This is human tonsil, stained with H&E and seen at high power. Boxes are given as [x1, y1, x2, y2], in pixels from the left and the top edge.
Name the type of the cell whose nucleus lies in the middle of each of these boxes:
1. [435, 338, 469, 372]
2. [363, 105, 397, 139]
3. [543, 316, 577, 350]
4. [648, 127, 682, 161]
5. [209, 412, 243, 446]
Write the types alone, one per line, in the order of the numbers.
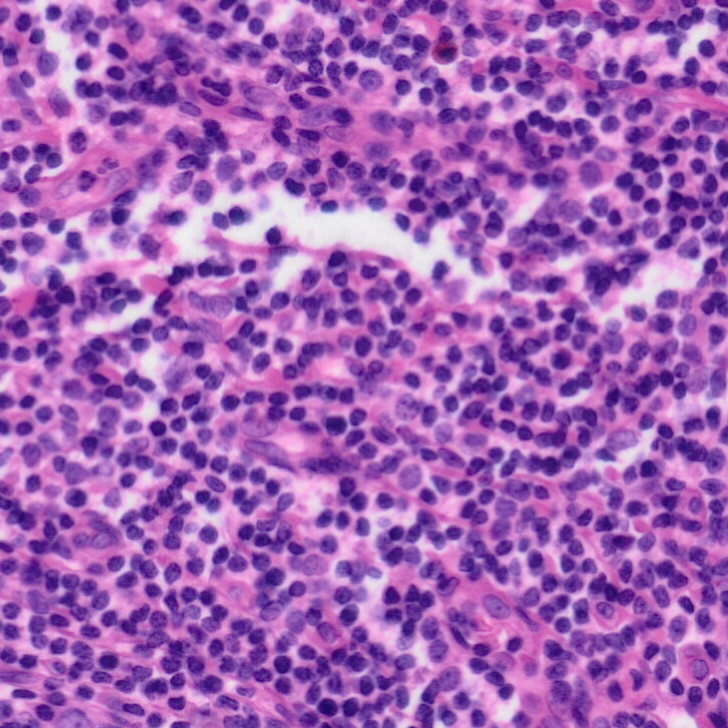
small lymphocyte
endothelial cell
small lymphocyte
small lymphocyte
endothelial cell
